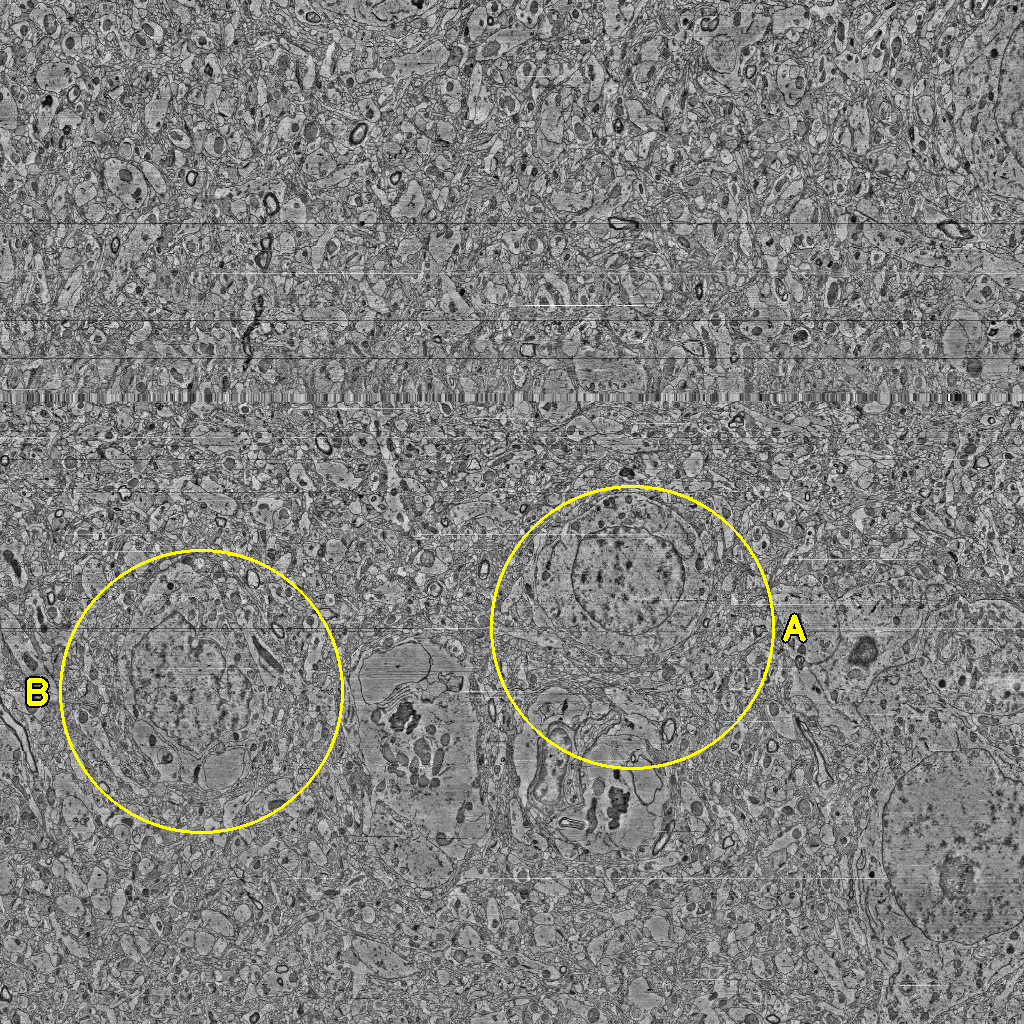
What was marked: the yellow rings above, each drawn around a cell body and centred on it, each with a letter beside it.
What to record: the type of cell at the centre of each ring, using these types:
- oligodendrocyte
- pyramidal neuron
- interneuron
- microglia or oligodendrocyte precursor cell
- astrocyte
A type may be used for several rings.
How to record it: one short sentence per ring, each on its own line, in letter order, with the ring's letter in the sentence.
Centred in ring A is a pyramidal neuron.
Centred in ring B is an interneuron.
